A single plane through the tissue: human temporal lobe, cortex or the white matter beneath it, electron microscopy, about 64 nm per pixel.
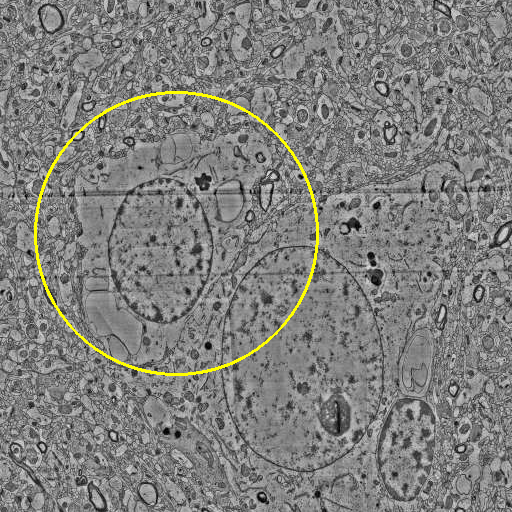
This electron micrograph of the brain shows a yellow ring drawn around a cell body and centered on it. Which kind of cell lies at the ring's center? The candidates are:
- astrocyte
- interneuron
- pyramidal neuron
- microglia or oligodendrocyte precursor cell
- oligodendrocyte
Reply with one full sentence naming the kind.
The cell lying at the ring's center in this micrograph is an astrocyte.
